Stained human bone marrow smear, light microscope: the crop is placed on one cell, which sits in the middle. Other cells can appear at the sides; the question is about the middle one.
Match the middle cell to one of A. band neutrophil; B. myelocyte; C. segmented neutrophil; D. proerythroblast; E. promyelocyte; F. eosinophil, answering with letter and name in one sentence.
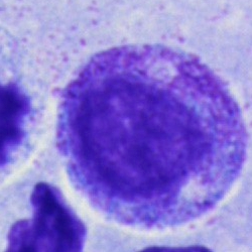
The cell at the heart of the crop is a promyelocyte, so choose option E.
